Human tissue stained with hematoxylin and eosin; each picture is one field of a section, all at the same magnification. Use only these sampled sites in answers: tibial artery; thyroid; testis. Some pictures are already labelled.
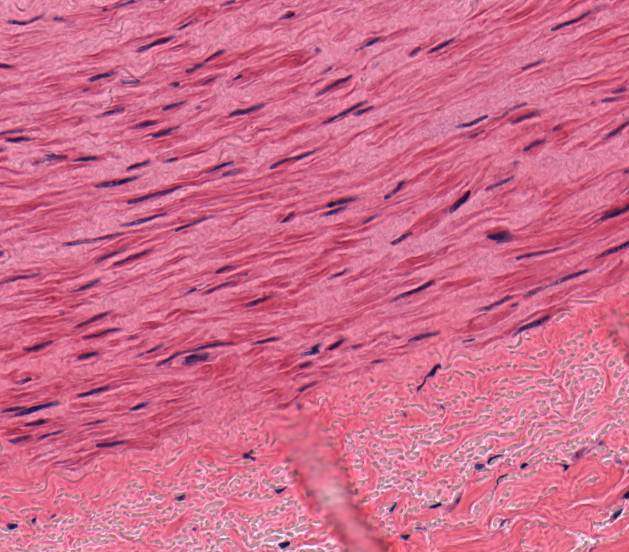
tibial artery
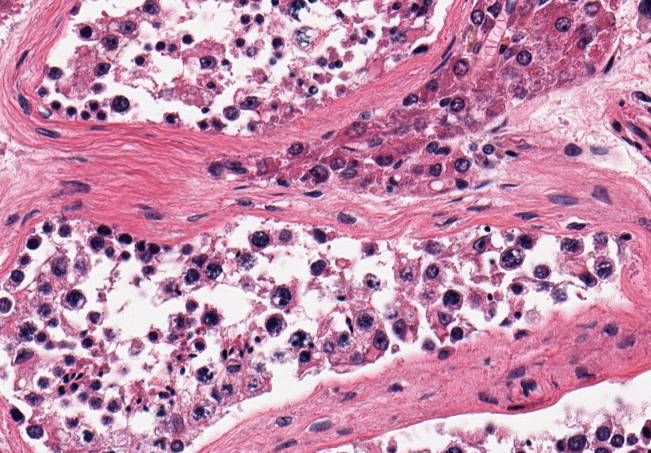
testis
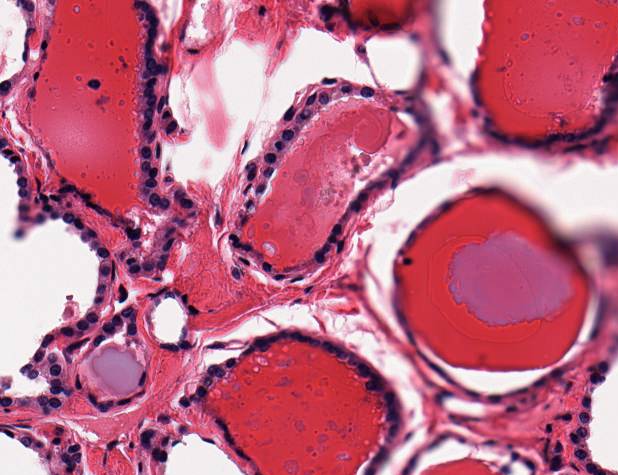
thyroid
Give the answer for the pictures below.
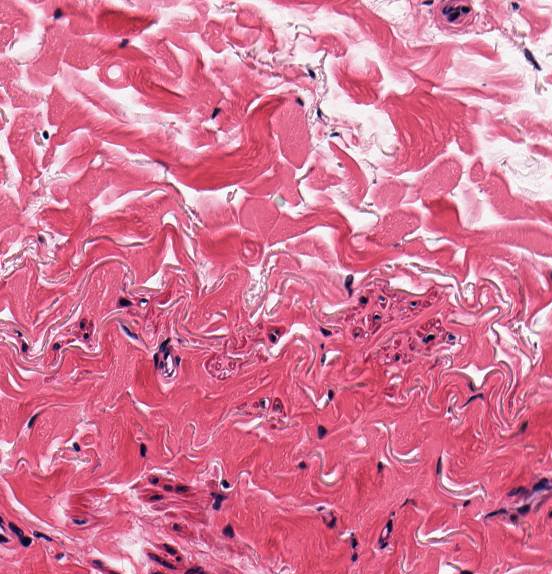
tibial artery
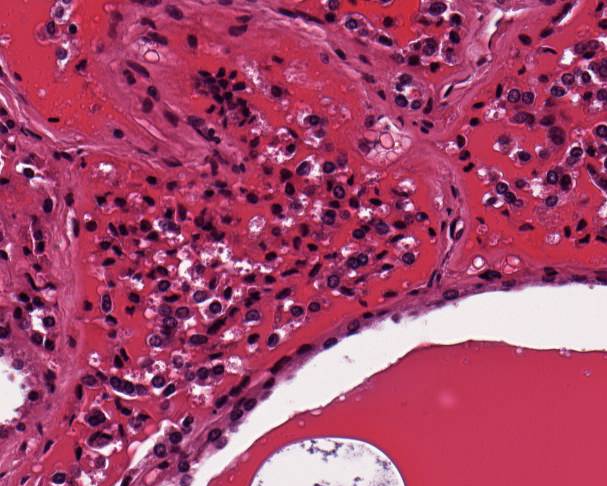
thyroid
